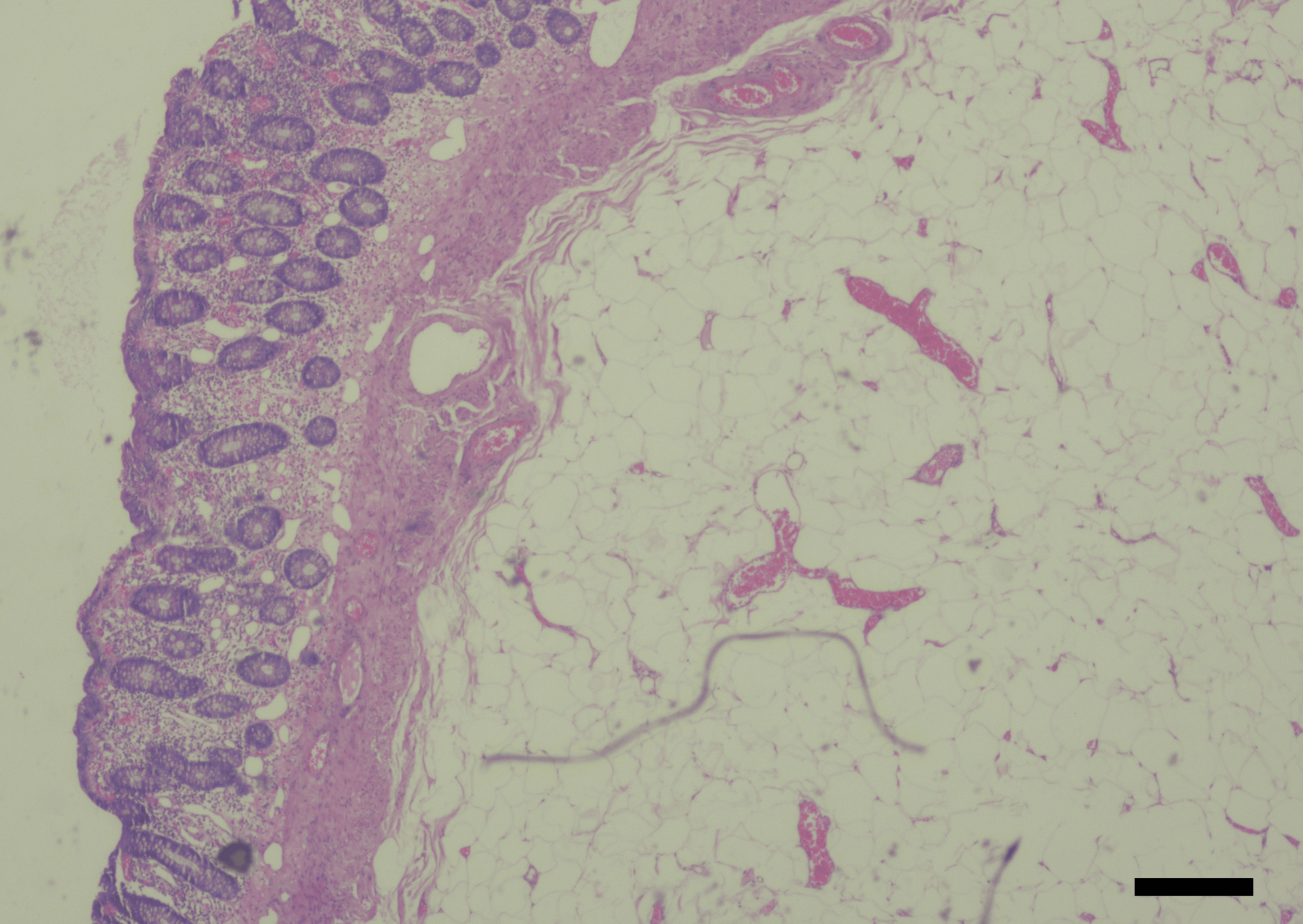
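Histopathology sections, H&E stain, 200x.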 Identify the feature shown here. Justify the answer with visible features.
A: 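Lipoma. The fat is well demarcated from the overlying layers by a thin fibrous band. The fat cells are uniform, with no atypical cells visible.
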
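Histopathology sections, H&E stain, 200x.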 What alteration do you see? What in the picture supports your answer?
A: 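Branching vessels in the fat are packed with red-staining blood cells. Vessels near the muscular layer are also filled with red cells.
Conclusion: congestion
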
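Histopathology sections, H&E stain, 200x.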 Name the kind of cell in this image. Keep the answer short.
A: Mature adipose cells.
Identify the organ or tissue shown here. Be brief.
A: Overlying mucosa.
